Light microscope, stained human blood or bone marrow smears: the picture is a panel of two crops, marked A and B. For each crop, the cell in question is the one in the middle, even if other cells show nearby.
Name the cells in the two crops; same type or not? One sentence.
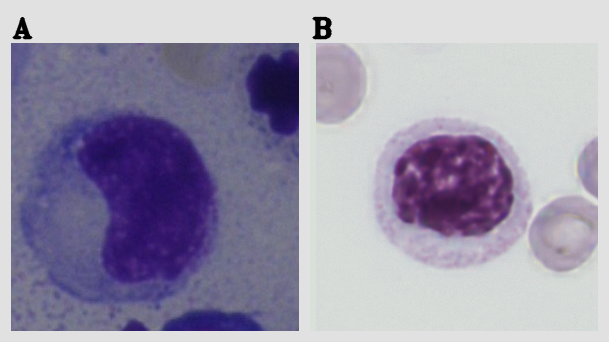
Yes, what both crops show at their centres are metamyelocytes.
